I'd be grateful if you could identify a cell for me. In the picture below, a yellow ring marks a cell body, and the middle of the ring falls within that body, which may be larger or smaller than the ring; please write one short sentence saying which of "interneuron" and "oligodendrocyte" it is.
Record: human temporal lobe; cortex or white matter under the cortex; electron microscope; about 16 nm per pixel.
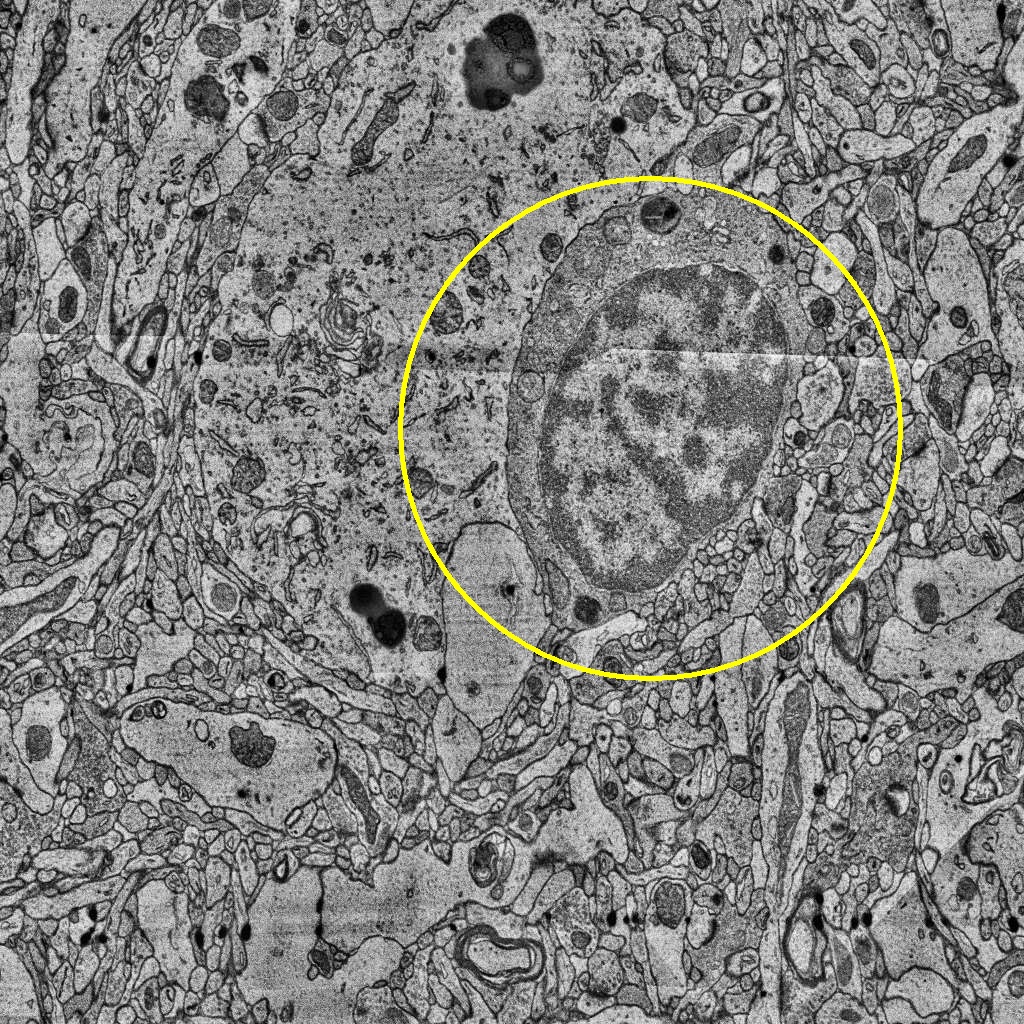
The cell under the ring's centre is an oligodendrocyte.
